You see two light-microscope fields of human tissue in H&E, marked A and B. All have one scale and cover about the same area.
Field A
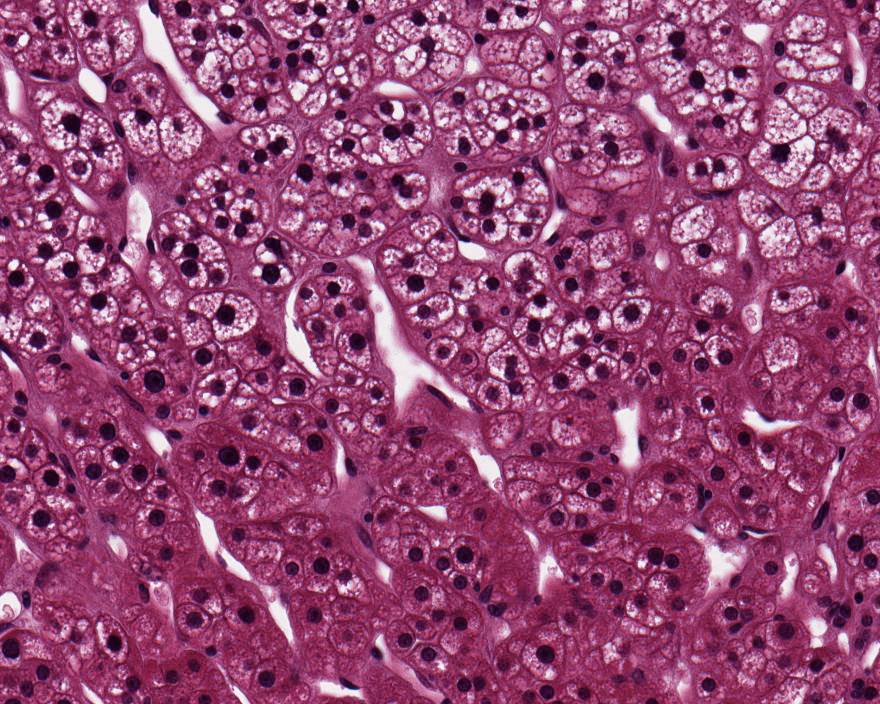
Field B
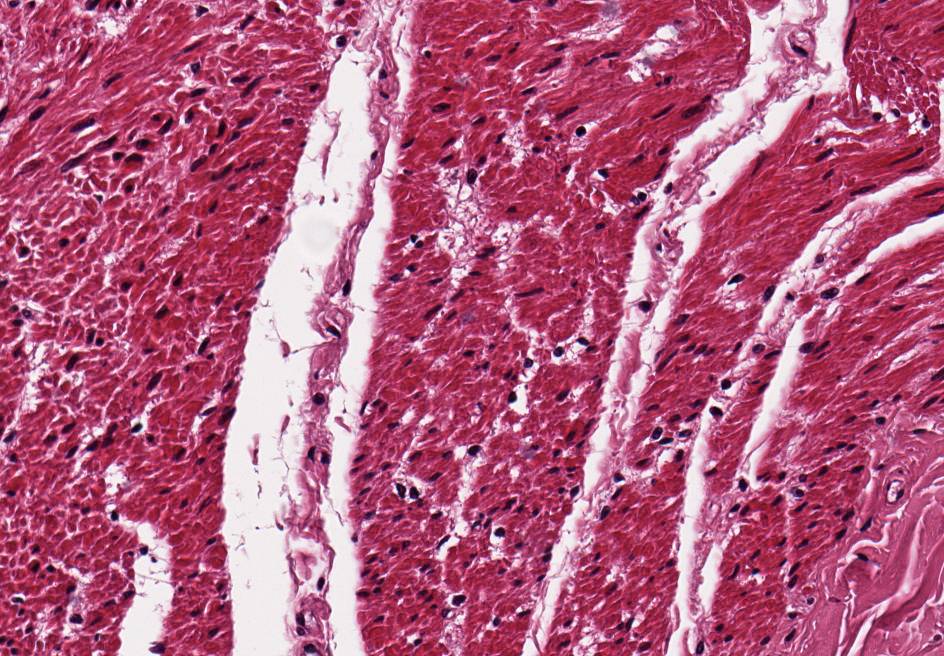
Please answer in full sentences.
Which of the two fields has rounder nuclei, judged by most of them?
It is field A whose nuclei are the rounder.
